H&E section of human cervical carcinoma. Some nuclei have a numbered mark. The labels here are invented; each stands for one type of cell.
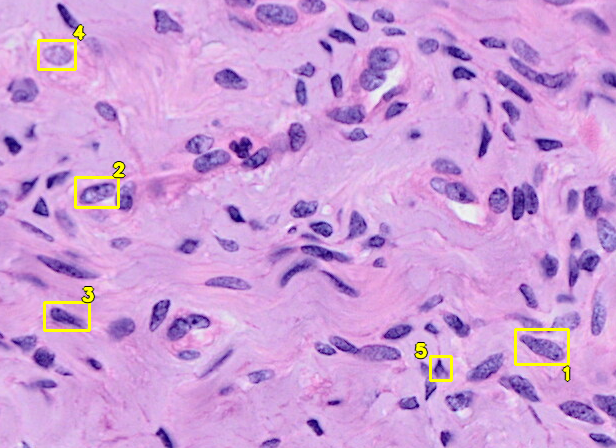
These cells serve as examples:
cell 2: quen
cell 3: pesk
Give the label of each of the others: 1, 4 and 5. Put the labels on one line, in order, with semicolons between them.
pesk; quen; pesk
